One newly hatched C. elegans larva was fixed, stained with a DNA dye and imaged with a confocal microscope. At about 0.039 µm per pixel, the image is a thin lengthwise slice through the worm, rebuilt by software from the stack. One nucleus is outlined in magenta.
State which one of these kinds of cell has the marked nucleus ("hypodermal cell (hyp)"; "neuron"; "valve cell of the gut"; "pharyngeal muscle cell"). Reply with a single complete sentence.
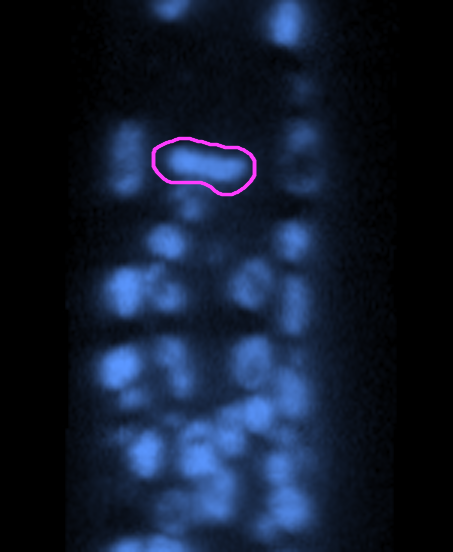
The marked cell is a valve cell of the gut.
